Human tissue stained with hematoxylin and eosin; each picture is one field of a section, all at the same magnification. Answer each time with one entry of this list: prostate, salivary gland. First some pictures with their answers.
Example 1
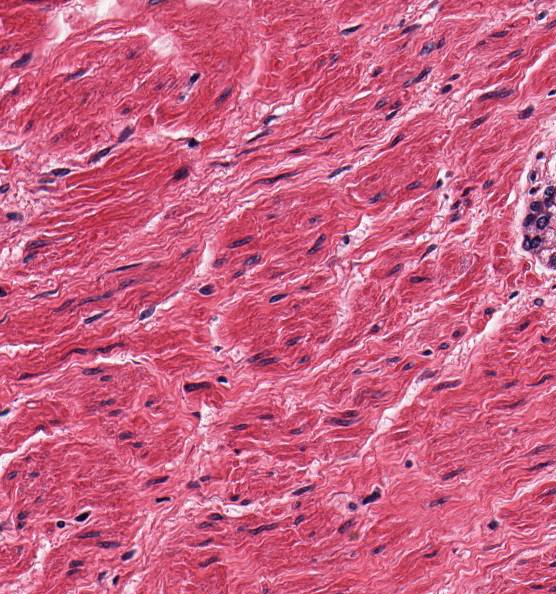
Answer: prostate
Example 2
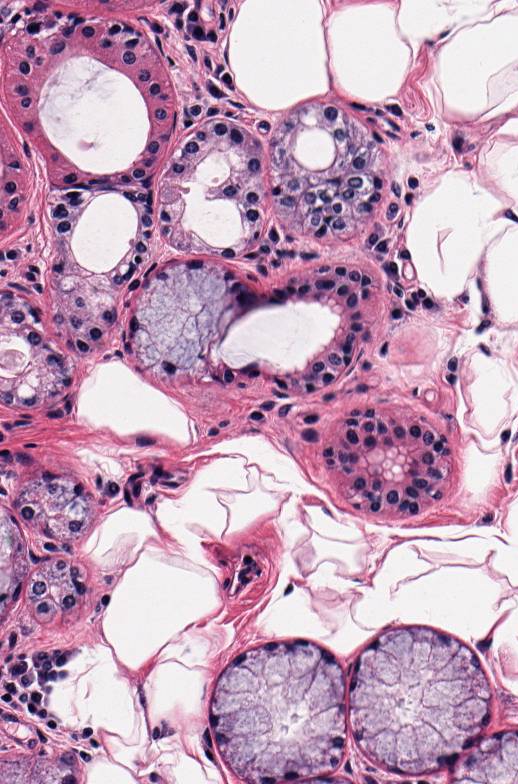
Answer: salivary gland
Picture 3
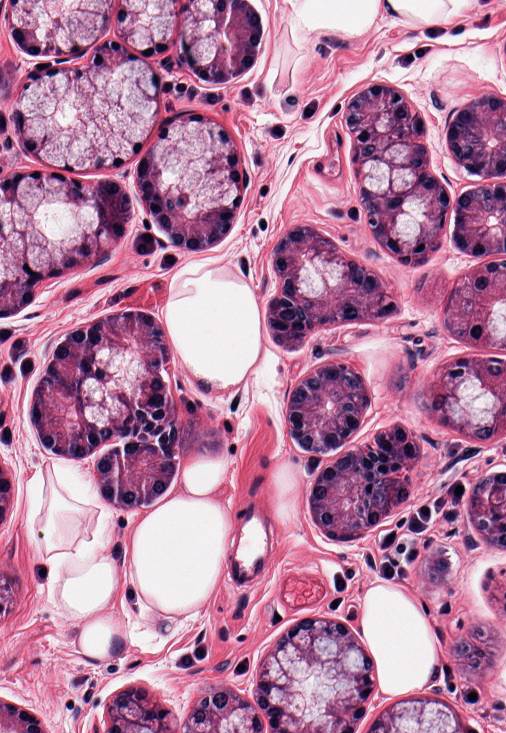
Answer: salivary gland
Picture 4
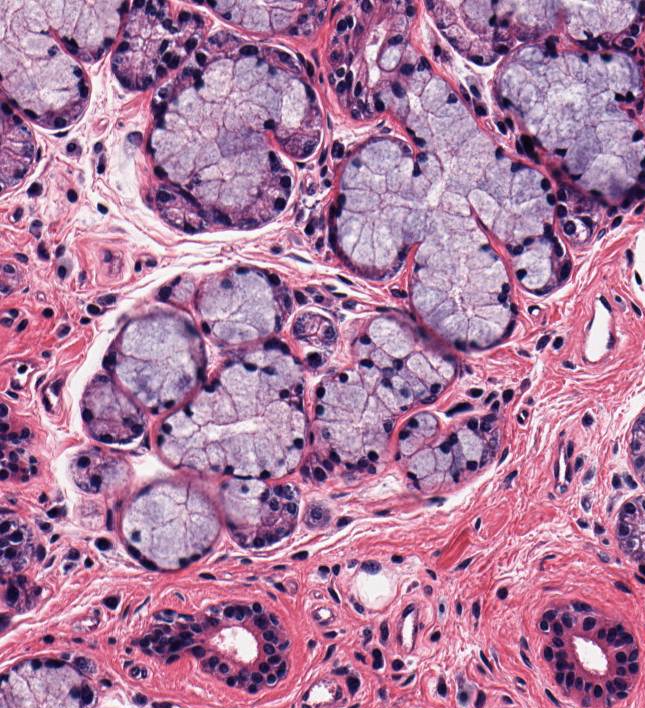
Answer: salivary gland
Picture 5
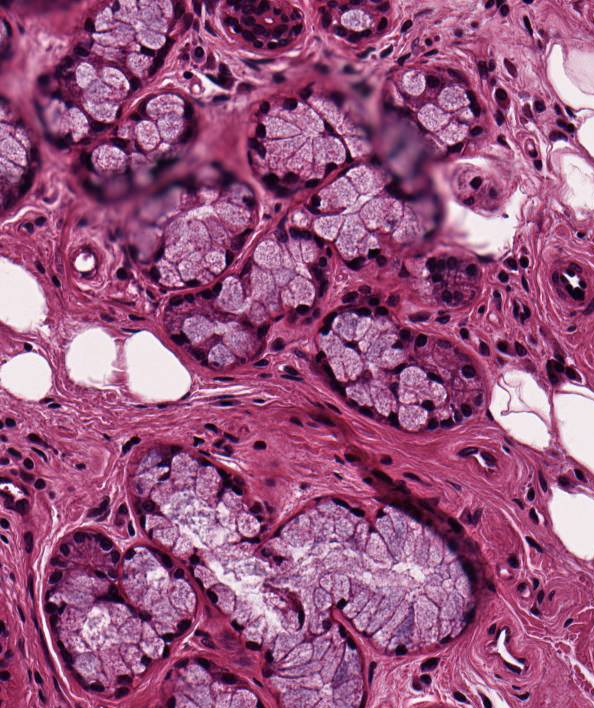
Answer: salivary gland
